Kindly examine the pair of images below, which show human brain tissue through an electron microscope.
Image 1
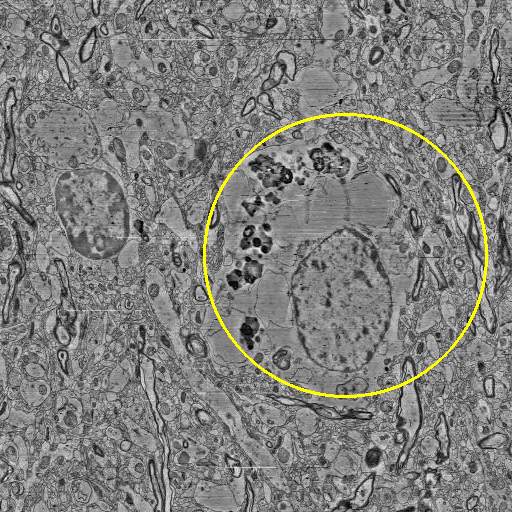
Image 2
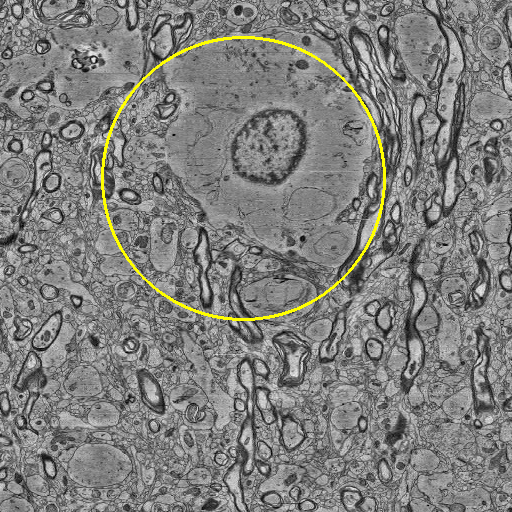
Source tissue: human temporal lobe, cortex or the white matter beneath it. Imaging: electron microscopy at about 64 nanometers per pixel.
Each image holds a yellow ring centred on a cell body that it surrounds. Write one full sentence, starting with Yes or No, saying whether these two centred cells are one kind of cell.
Yes, both cells at the centres of the yellow rings belong to one kind of cell.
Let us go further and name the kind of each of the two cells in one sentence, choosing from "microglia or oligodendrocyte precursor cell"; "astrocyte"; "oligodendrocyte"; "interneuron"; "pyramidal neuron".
The second cell is an astrocyte, just as the first is.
